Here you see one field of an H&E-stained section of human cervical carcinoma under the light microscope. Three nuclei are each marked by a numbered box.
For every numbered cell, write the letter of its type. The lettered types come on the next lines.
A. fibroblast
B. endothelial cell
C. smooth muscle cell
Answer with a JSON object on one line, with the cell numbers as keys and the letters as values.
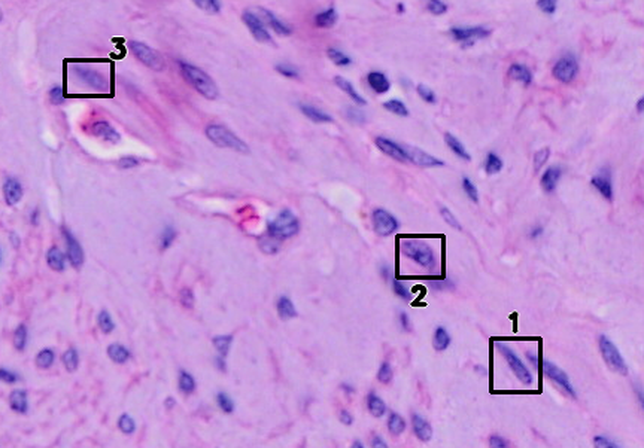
{"1": "A", "2": "B", "3": "C"}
